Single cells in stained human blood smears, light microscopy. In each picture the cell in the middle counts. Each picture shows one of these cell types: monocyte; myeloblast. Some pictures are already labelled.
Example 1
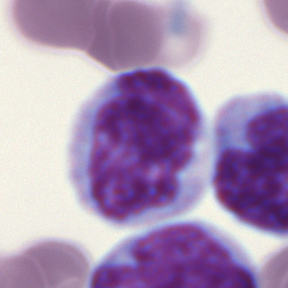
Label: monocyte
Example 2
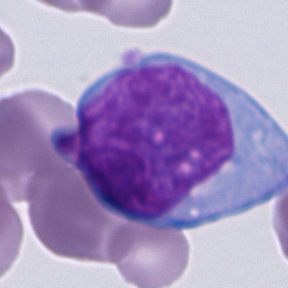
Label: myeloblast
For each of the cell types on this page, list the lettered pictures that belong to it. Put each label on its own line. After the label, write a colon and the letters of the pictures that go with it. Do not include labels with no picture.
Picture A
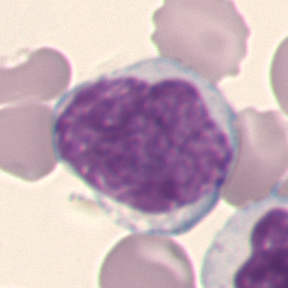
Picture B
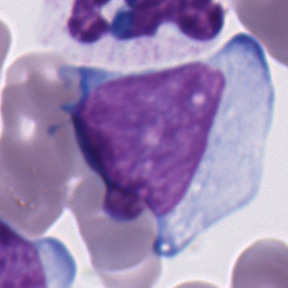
myeloblast: A, B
